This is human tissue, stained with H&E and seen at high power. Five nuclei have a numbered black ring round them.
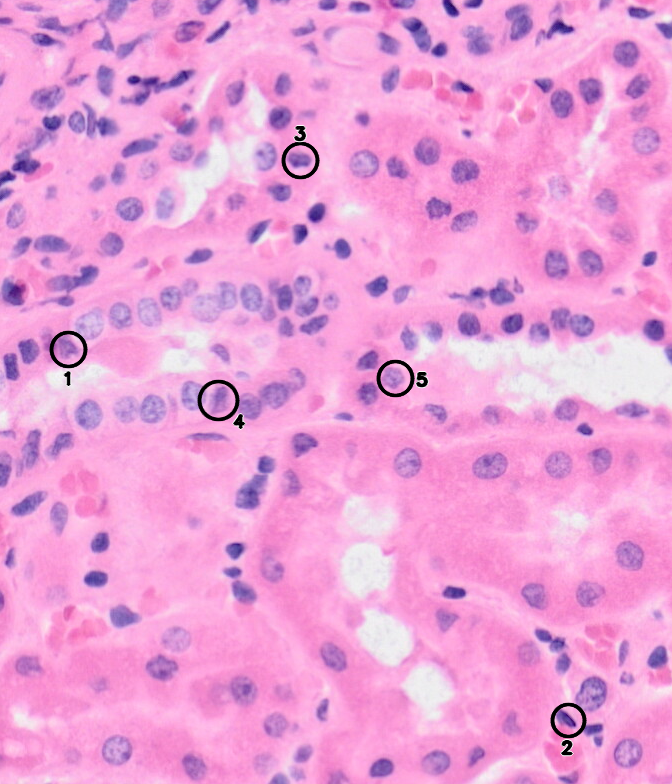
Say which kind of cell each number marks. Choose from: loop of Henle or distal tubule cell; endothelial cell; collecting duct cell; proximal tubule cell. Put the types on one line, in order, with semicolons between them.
collecting duct cell; endothelial cell; loop of Henle or distal tubule cell; collecting duct cell; loop of Henle or distal tubule cell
